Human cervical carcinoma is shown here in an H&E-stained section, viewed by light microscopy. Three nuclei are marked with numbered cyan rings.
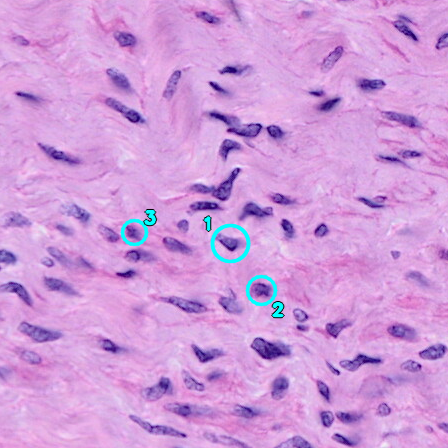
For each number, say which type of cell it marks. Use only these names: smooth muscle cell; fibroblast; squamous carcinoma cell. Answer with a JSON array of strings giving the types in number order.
["fibroblast", "smooth muscle cell", "smooth muscle cell"]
